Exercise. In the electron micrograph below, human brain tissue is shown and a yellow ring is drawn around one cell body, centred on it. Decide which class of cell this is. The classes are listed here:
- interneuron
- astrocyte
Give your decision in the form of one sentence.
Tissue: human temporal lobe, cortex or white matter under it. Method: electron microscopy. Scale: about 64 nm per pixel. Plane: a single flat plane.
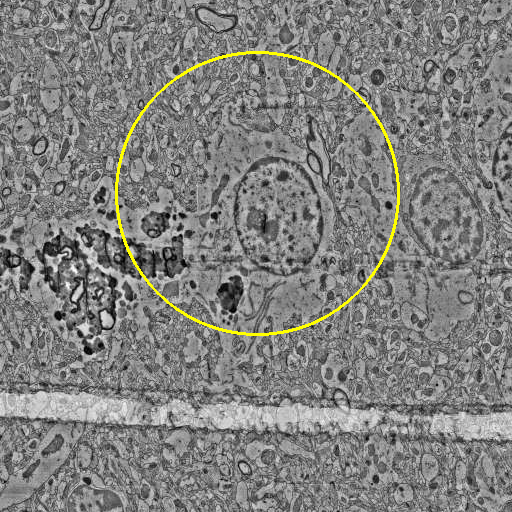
The cell body marked by the ring belongs to an astrocyte.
